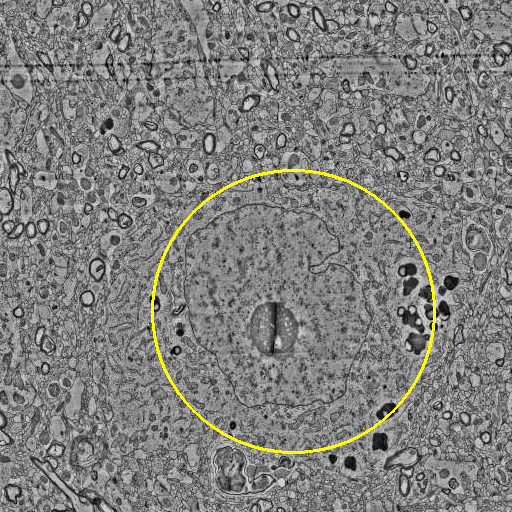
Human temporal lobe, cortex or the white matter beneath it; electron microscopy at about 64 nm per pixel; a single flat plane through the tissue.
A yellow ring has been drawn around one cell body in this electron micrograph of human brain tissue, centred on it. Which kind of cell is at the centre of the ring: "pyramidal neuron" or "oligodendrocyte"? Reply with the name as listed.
pyramidal neuron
